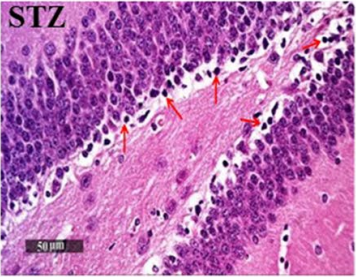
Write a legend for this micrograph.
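Dentate gyrus granule cell layer in two bands of densely packed, small round cells with purple nuclei. A pale pink, cell-poor zone lies between the bands. Along the inner edge of the bands, scattered small cells have shrunken, very dark, condensed nuclei, unlike the round nuclei of their neighbours.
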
